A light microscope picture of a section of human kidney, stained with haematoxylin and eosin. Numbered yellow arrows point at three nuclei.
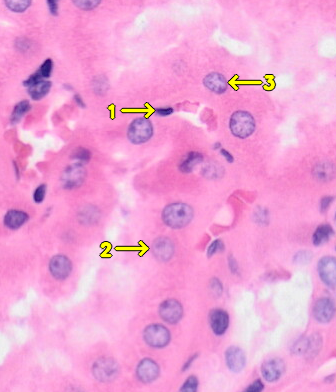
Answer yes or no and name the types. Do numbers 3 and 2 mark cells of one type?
Yes, that is correct, cells 3 and 2 are both proximal tubule cells.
